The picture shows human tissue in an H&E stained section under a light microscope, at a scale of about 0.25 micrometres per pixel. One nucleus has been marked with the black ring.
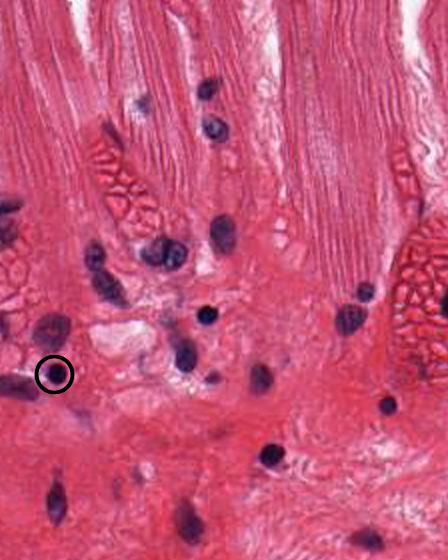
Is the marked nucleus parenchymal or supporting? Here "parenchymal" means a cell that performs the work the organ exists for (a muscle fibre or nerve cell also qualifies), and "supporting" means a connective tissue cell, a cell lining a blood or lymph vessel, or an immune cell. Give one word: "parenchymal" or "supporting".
supporting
